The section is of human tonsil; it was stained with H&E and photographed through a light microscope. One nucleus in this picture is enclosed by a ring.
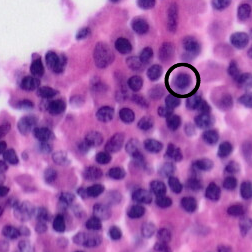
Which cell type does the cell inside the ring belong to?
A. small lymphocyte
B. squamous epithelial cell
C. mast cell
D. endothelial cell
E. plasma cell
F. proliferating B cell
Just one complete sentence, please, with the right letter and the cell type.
In keeping with option E, the cell inside the ring is a plasma cell.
